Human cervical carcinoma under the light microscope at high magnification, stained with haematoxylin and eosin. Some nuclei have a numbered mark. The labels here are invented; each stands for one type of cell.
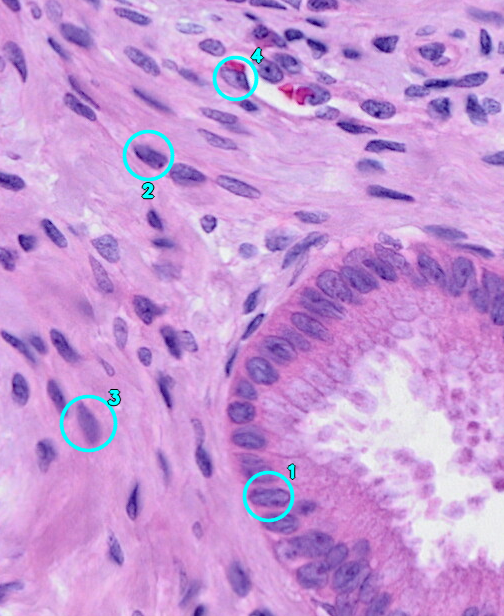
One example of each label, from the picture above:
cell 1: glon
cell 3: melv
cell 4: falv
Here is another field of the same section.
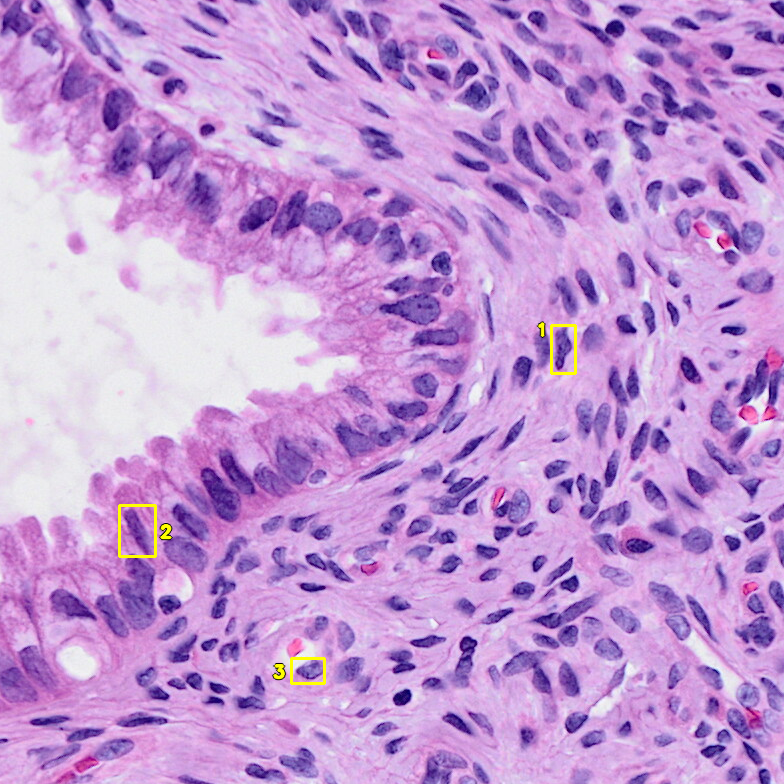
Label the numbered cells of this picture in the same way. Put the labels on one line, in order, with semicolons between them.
melv; glon; falv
